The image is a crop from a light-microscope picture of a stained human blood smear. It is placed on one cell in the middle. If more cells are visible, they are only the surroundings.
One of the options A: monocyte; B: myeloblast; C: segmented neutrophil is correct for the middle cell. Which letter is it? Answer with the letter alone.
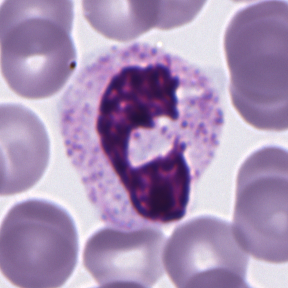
C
